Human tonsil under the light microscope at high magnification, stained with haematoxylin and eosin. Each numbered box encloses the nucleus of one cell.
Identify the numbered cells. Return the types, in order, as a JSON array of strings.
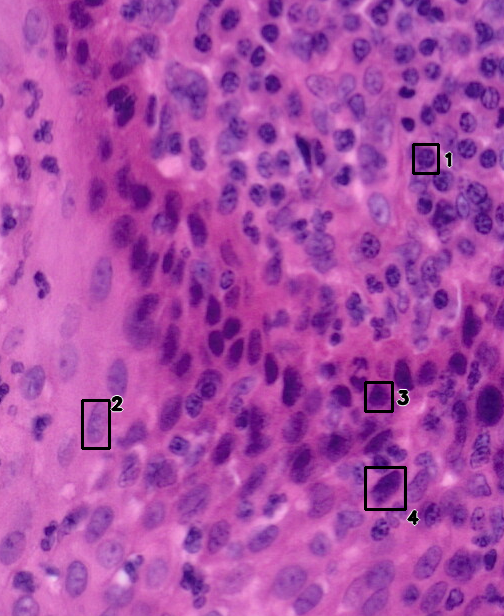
["plasma cell", "squamous epithelial cell", "squamous epithelial cell", "squamous epithelial cell"]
